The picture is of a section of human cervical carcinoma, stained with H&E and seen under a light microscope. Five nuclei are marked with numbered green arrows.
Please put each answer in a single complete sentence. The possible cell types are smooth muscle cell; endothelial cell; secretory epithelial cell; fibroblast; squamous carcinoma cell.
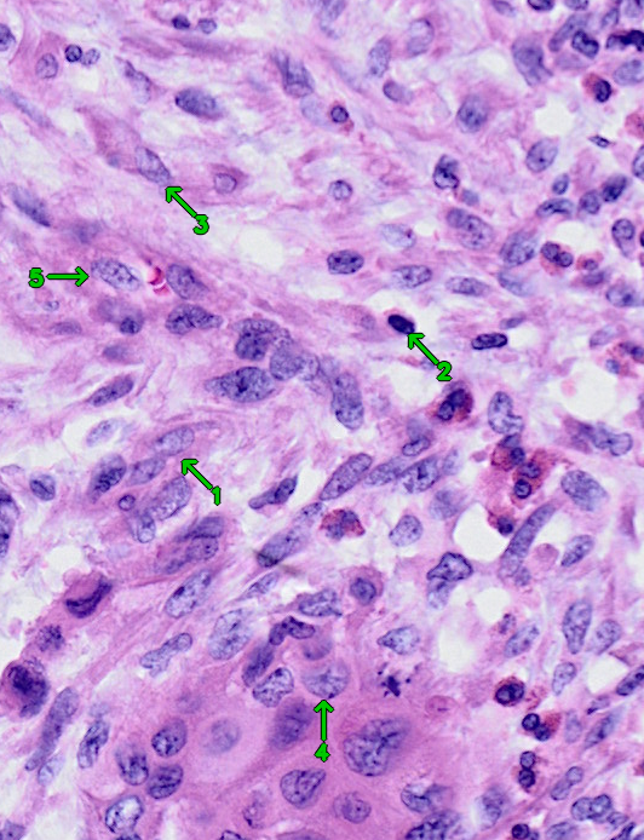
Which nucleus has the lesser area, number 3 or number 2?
Number 2 is smaller, since number 3 takes up about 2 times as much area.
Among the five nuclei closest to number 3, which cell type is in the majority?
Most of the five nuclei nearest to number 3 are those of fibroblasts.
